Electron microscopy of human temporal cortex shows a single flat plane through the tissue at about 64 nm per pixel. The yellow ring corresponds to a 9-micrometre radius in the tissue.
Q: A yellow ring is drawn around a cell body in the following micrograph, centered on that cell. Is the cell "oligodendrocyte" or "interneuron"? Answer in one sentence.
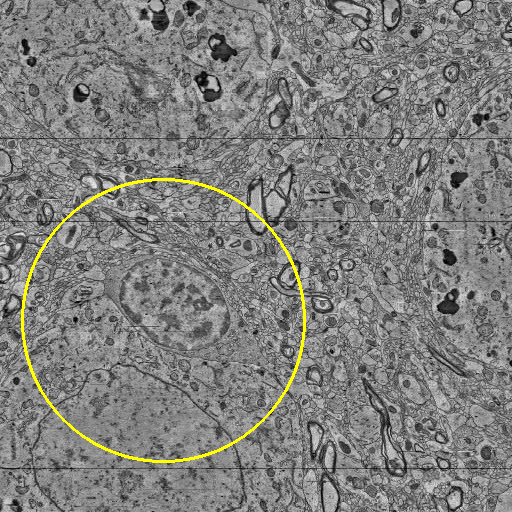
The cell in the center of the ring is an oligodendrocyte.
